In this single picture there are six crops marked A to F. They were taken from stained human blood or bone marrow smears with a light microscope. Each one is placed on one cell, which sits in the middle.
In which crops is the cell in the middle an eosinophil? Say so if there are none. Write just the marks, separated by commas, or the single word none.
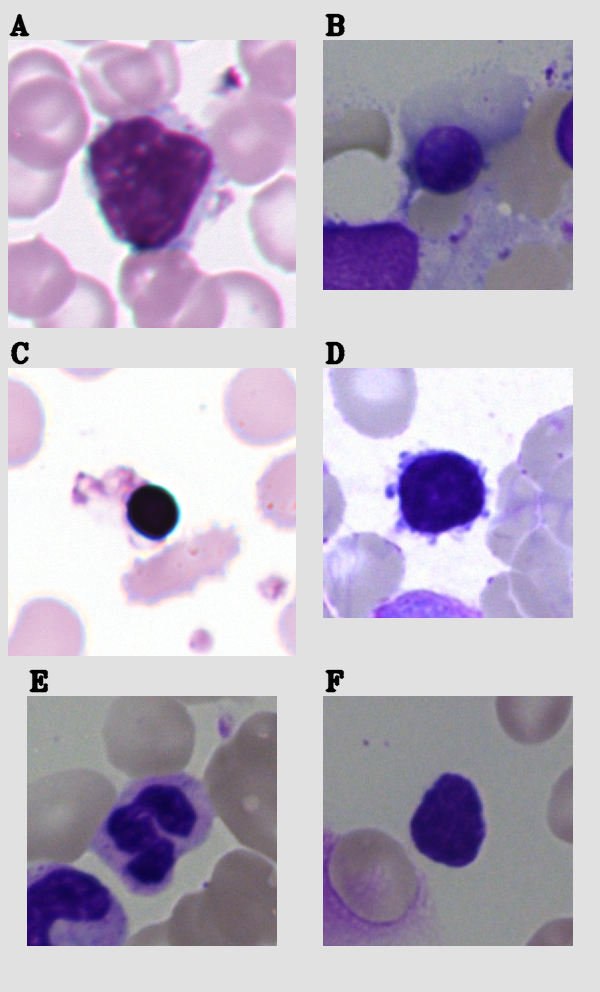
none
